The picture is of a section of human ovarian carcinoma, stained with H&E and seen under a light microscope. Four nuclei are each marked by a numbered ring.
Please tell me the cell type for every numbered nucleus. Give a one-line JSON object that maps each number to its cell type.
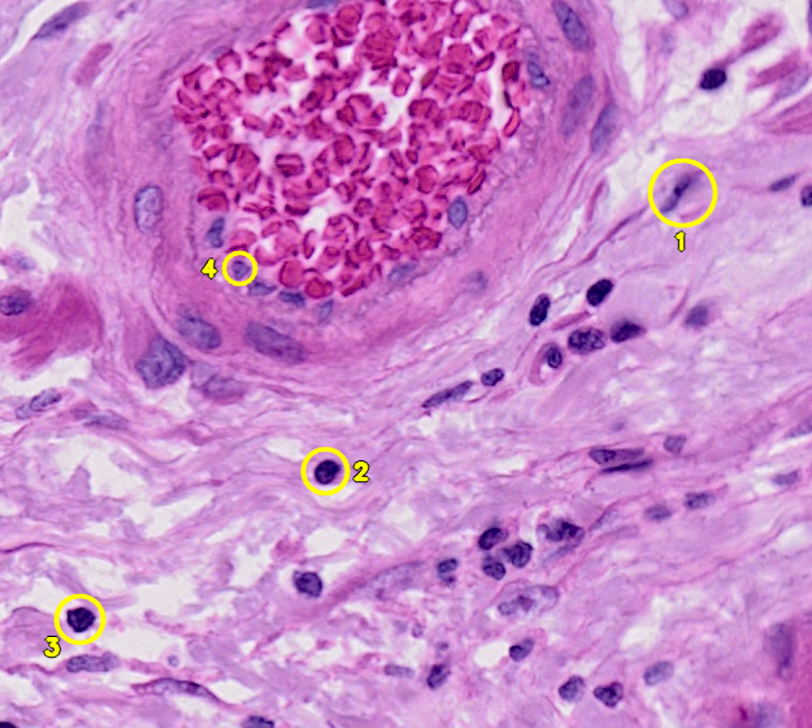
{"1": "fibroblast", "2": "lymphocyte", "3": "lymphocyte", "4": "endothelial cell"}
